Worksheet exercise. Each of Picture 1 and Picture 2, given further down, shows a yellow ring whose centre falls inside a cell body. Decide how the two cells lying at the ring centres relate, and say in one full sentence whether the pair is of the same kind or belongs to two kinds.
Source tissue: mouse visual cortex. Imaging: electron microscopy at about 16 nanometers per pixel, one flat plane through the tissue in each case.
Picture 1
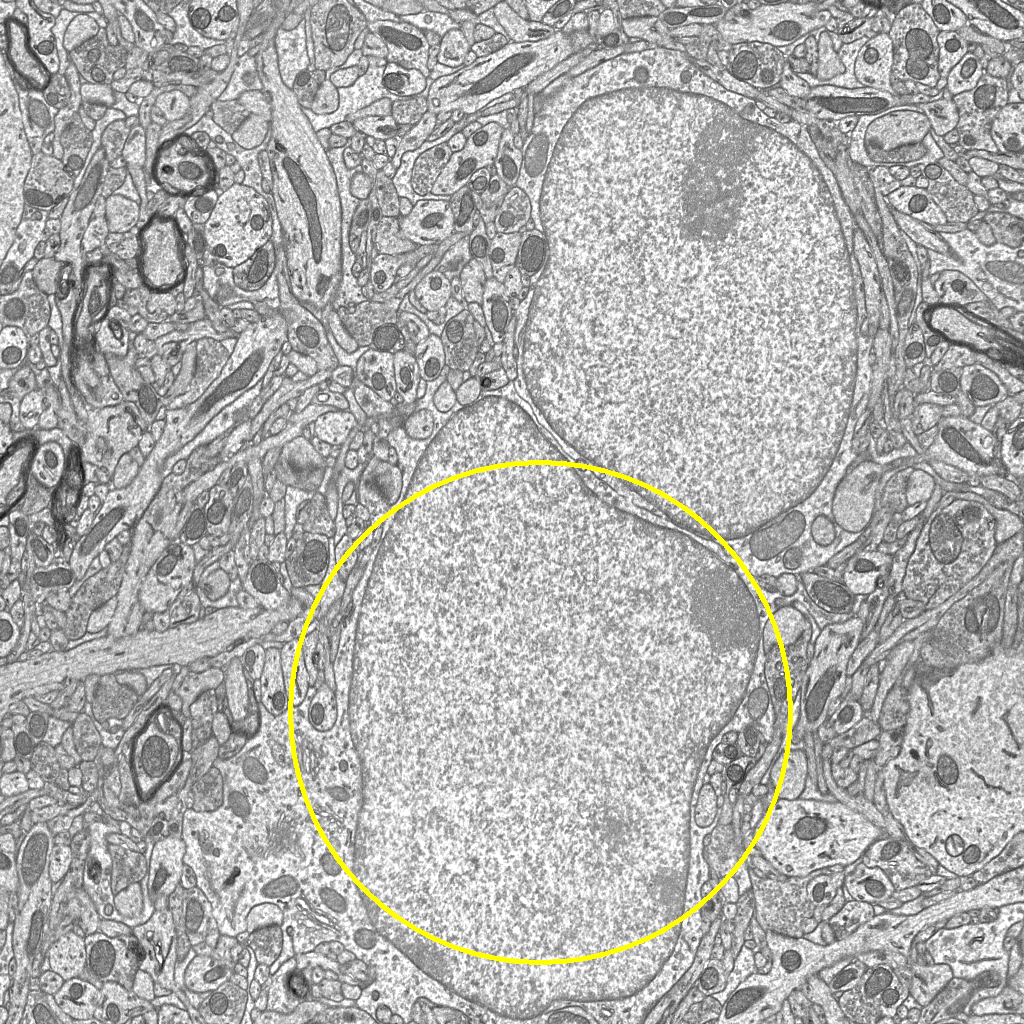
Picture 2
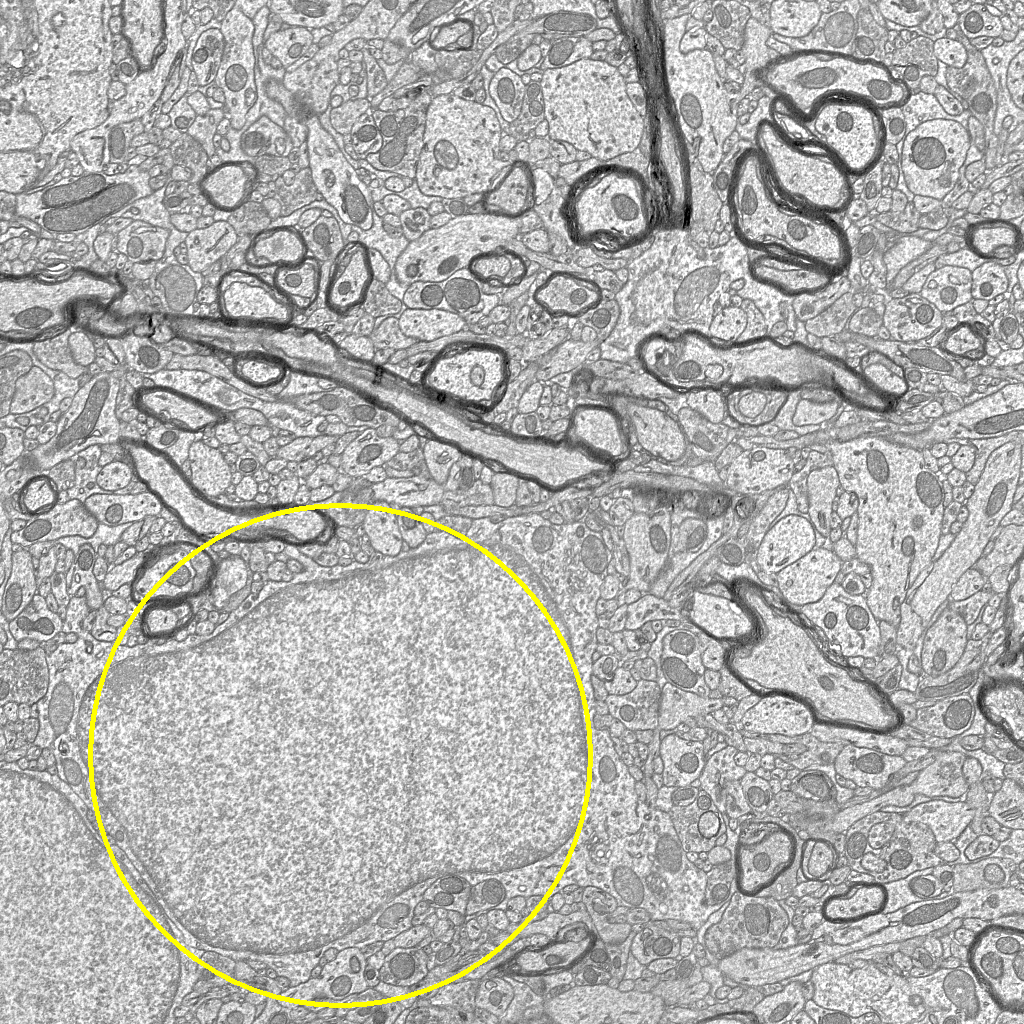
The cells at the ring centres in Picture 1 and Picture 2 are of the same kind.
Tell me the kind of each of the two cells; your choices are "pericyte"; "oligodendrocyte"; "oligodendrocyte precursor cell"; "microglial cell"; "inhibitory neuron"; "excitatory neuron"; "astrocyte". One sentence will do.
The cell at the ring centre is an astrocyte in both pictures.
